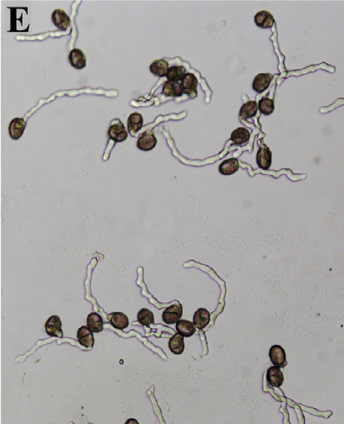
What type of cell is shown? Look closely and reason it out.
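Many small oval brown grains scattered across the field. Long thin pale tubes extend from many of the grains. So: pollen grains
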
